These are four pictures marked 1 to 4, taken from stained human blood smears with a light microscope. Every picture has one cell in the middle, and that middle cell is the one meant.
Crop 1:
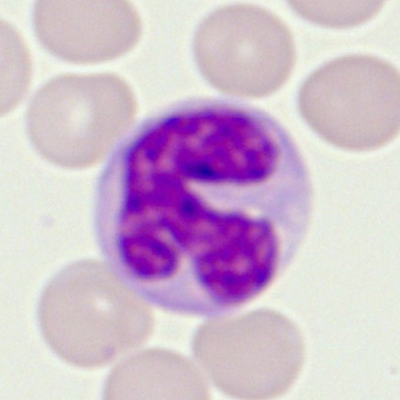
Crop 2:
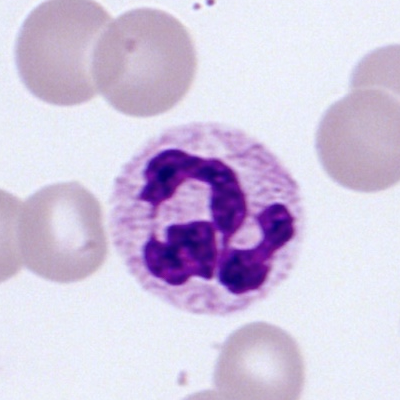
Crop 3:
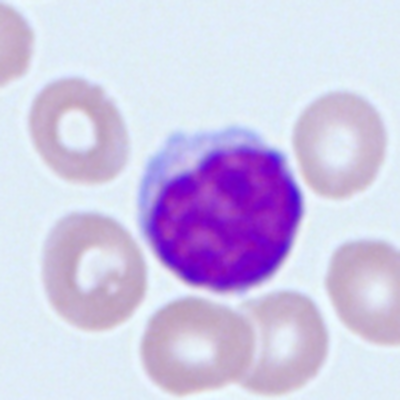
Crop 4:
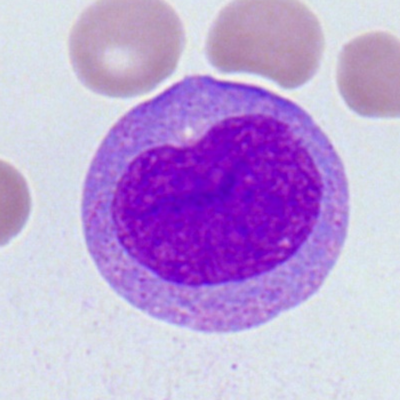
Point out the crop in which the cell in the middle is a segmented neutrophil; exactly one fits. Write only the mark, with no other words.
2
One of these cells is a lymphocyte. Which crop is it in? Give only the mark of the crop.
3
